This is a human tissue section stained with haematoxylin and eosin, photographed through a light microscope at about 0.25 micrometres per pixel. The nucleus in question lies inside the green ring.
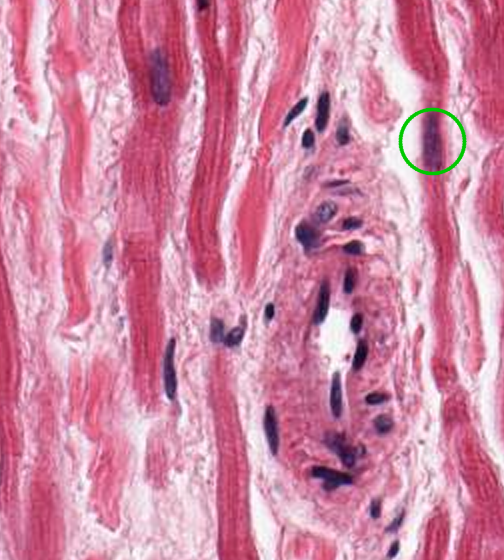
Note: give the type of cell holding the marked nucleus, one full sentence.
The marked nucleus belongs to a cardiomyocyte.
